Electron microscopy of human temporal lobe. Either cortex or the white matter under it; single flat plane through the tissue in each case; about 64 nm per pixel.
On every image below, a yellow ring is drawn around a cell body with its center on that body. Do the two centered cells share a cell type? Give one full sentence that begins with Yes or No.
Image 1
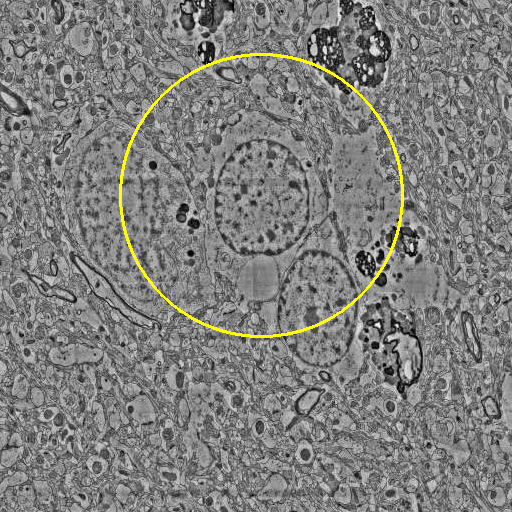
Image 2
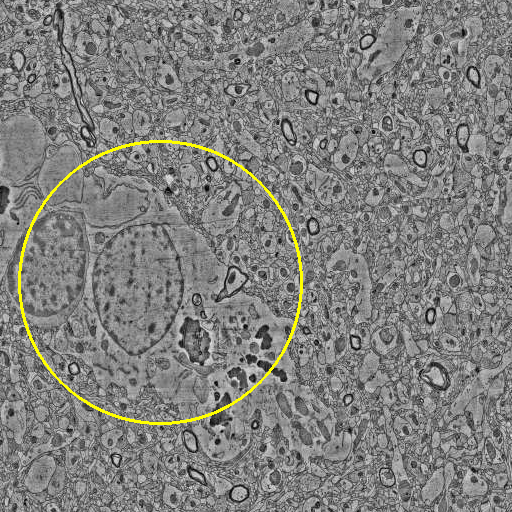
Yes, the centered cells in the two images are of a single cell type.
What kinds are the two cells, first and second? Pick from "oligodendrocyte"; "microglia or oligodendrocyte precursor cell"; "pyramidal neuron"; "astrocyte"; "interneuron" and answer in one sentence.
In both pictures the ring is centred on an astrocyte.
